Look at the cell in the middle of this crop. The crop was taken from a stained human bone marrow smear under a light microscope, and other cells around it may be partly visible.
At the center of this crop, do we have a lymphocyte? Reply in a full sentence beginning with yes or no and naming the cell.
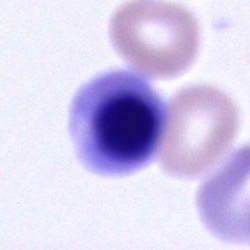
No, the central cell is an erythroblast, not a lymphocyte.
